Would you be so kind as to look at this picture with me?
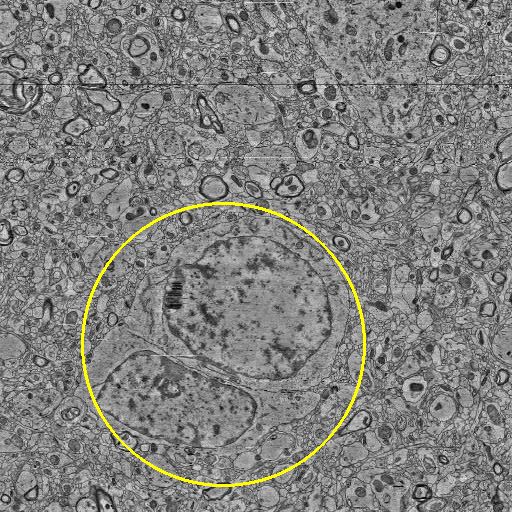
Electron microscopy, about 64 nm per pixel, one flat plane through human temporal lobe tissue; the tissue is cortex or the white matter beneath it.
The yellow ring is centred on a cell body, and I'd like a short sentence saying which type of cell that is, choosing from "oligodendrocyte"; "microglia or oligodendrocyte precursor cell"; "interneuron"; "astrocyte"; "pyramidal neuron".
The cell body in the ring belongs to an interneuron.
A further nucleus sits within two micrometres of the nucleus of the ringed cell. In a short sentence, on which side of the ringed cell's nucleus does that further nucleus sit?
The other nucleus lies to the lower left of it.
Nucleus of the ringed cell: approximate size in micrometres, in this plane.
In this plane, approximately 10 micrometres across.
